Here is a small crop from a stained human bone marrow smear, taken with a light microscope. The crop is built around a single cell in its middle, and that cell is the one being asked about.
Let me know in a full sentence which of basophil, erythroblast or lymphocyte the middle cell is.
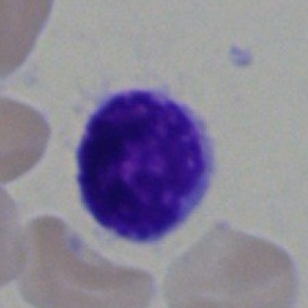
The central cell, amid any neighbouring cells, is a lymphocyte.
